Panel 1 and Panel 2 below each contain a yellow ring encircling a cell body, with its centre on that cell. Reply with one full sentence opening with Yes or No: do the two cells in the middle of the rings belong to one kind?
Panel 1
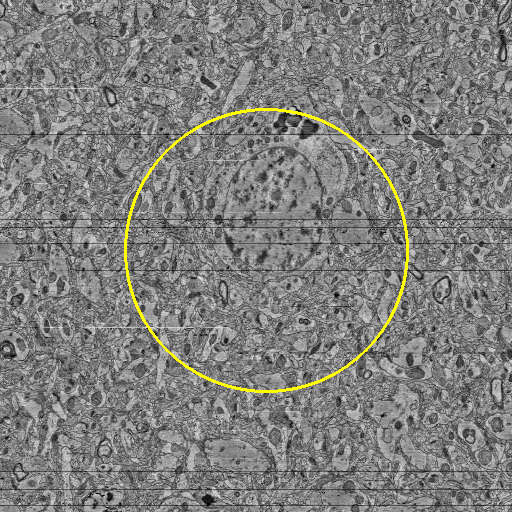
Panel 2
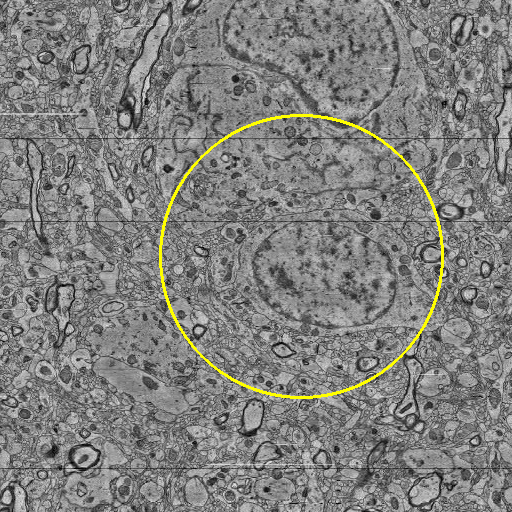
Yes, the cells at the middle of the Panel 1 ring and the Panel 2 ring are of one kind.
